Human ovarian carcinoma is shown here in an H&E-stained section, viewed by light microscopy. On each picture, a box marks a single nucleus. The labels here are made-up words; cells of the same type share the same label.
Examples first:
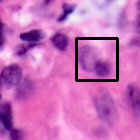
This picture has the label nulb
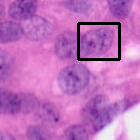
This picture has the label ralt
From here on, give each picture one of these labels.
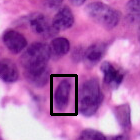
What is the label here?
ralt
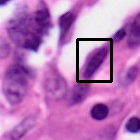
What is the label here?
ralt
